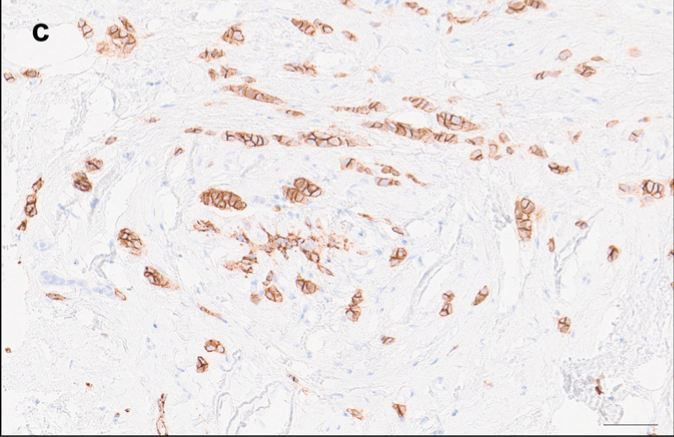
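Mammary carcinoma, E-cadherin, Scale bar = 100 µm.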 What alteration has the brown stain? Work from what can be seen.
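Brown stain outlines the whole border of each tumor cell. Cell interiors and nuclei are largely unstained. On this evidence: circumferential membranous staining.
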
